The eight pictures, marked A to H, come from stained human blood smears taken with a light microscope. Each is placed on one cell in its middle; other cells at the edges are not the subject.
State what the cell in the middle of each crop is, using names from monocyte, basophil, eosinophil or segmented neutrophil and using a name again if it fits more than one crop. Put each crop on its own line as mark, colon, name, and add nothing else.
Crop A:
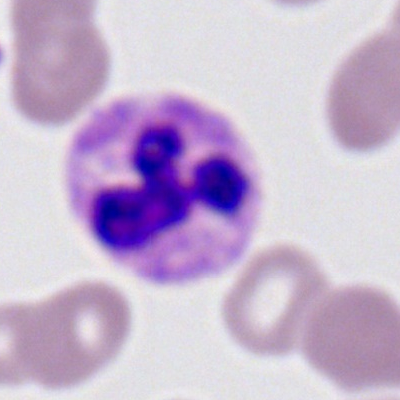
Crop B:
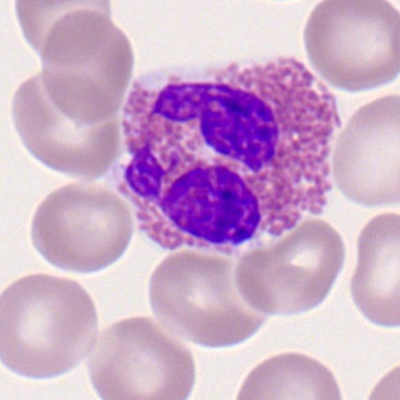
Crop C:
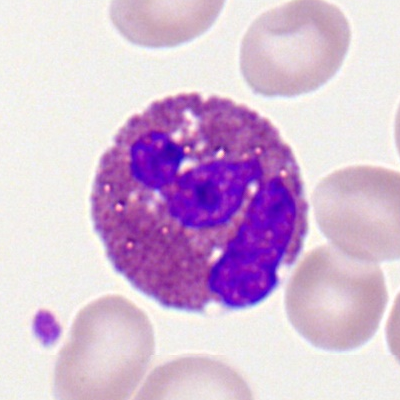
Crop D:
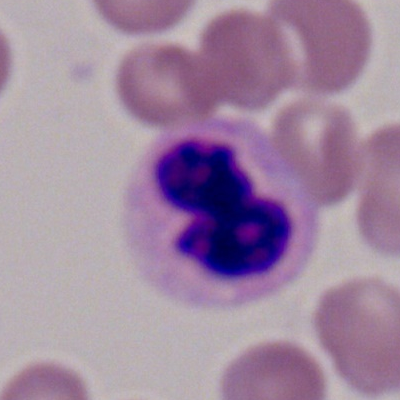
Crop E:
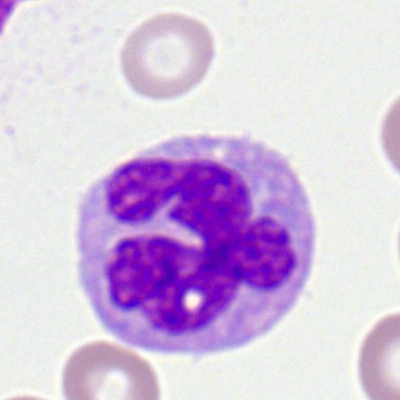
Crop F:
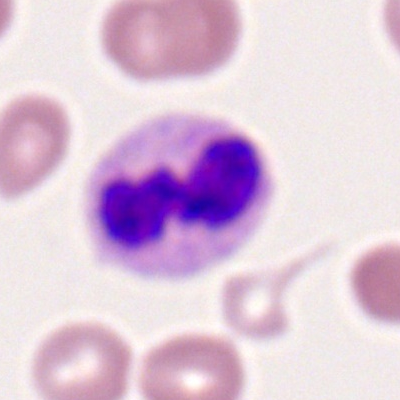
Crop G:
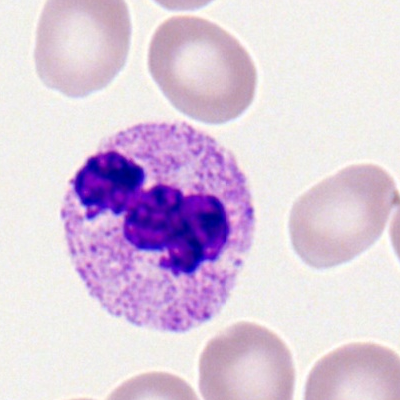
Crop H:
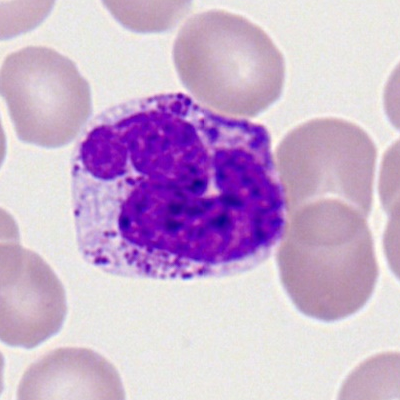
A: segmented neutrophil
B: eosinophil
C: eosinophil
D: segmented neutrophil
E: monocyte
F: segmented neutrophil
G: segmented neutrophil
H: basophil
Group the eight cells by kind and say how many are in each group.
segmented neutrophil: 4
eosinophil: 2
monocyte: 1
basophil: 1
